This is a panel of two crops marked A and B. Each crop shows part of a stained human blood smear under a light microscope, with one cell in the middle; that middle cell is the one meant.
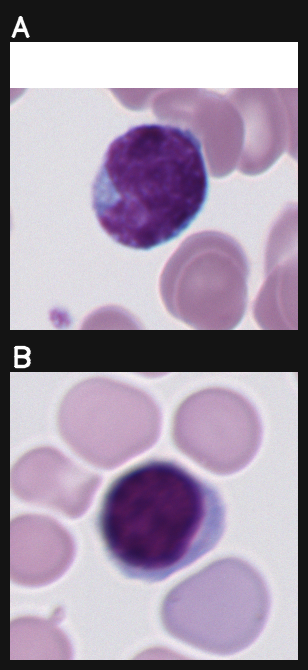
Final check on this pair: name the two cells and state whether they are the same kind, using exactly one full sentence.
Yes, typical lymphocytes are at the centre in both crops.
